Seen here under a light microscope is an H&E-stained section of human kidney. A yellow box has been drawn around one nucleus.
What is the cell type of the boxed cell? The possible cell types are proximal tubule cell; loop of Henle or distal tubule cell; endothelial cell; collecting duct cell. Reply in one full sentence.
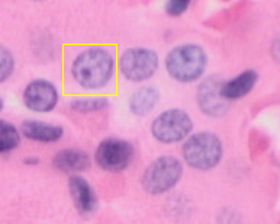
For the purposes of cell typing, the boxed cell is categorized as a collecting duct cell.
